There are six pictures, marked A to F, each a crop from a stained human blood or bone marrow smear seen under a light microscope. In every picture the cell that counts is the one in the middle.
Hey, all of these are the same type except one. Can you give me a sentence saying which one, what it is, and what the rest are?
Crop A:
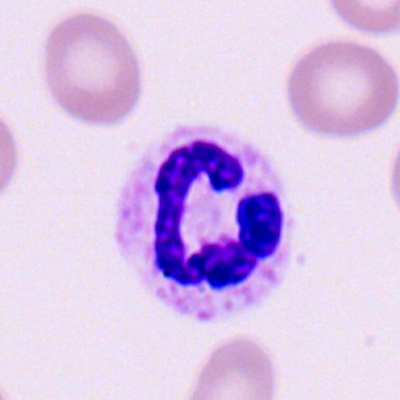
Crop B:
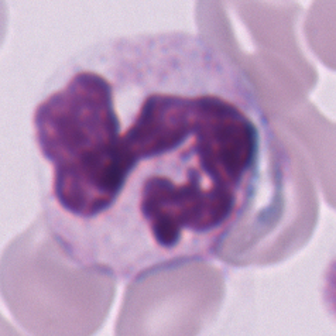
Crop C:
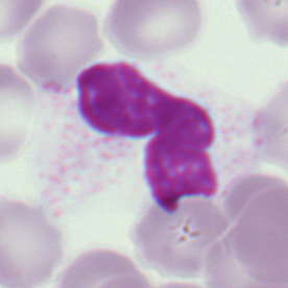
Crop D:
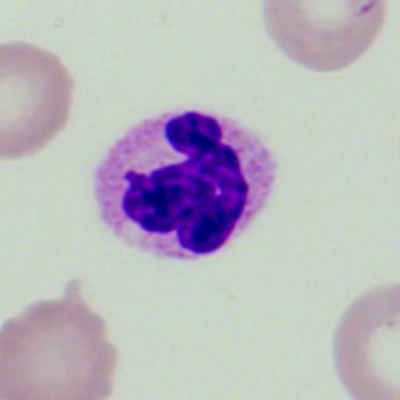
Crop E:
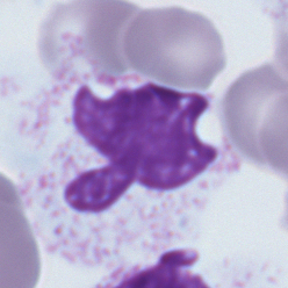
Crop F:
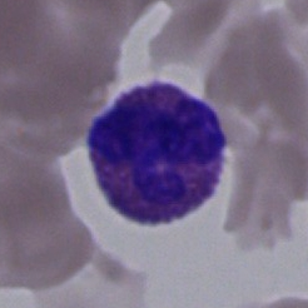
Crop F is singled out as an eosinophil, and all of the other crops show segmented neutrophils.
